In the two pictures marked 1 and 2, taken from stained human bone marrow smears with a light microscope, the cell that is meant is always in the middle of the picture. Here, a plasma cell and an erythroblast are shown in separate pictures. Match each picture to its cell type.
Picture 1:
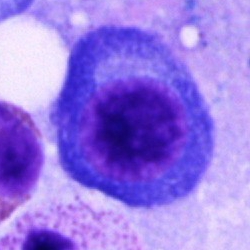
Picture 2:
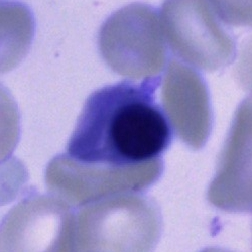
1: plasma cell
2: erythroblast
